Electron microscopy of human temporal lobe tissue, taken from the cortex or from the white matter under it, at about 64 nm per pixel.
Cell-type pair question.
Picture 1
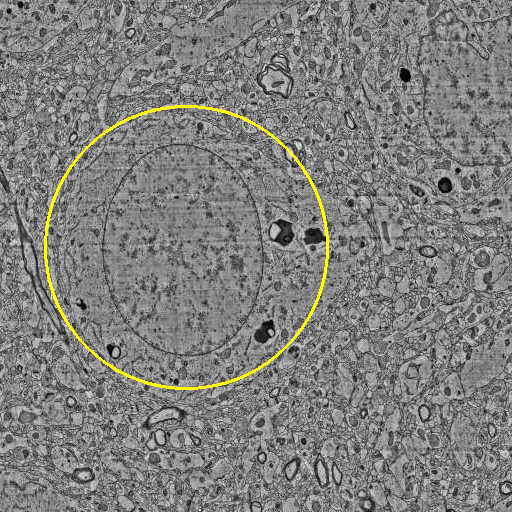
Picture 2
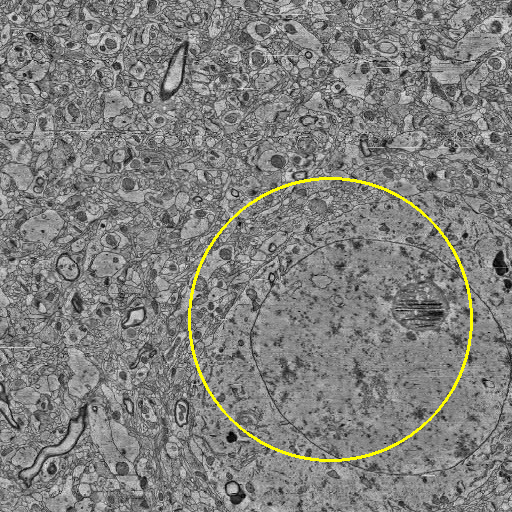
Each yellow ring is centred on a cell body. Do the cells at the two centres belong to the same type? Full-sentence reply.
Yes, the two cells belong to the same type.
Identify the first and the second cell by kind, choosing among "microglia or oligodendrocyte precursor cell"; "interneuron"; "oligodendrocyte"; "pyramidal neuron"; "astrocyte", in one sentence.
In the first picture and in the second, the ring is centred on a pyramidal neuron.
